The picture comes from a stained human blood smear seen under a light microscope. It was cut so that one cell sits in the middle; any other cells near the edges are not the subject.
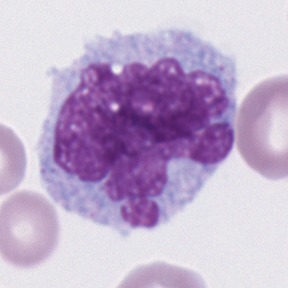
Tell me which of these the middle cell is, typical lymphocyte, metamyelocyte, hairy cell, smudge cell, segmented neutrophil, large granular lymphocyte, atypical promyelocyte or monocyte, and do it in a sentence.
In the central position of this crop, the cell is a monocyte.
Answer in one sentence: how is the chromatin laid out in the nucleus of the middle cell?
The key point is fine chromatin with no coarse clumps.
